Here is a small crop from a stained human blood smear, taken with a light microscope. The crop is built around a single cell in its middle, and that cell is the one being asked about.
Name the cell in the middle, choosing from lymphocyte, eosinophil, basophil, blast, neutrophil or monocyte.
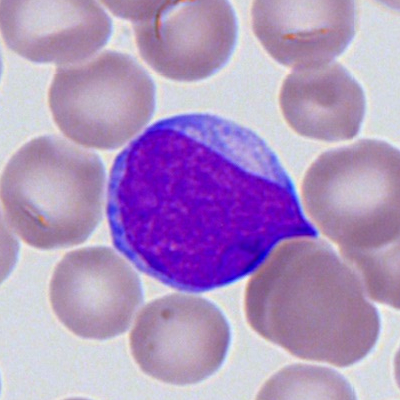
blast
